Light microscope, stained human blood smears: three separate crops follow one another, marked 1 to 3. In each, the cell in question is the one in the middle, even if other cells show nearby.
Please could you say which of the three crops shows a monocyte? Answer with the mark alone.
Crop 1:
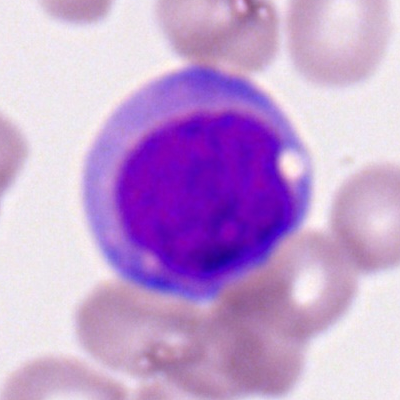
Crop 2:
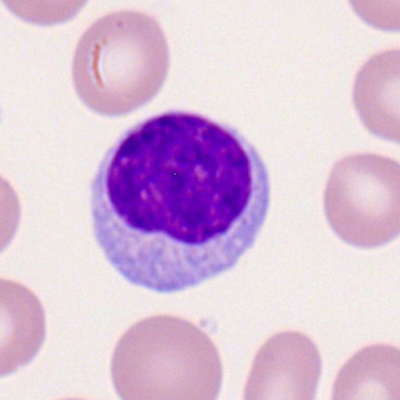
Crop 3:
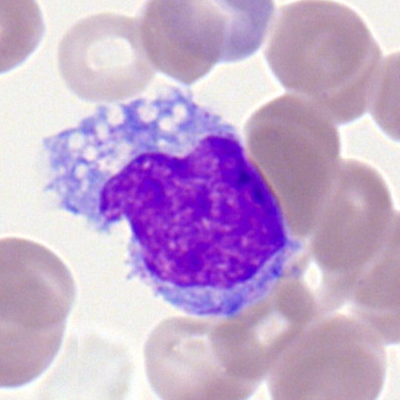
3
